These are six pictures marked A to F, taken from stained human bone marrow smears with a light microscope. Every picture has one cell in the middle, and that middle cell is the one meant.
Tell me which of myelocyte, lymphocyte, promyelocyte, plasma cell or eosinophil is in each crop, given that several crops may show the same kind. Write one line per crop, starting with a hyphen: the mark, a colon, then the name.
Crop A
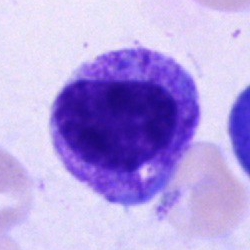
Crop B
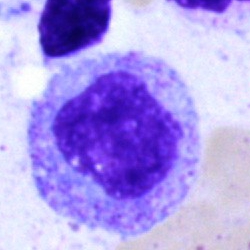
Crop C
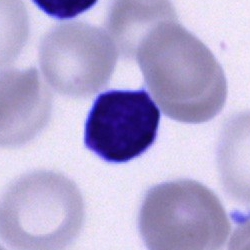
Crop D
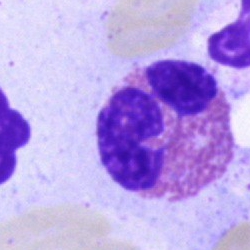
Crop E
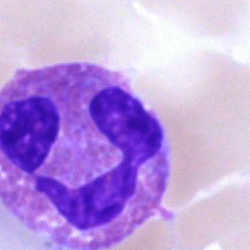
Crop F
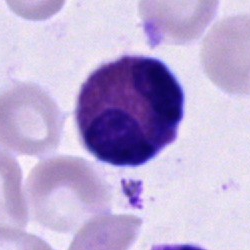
- A: myelocyte
- B: myelocyte
- C: lymphocyte
- D: eosinophil
- E: eosinophil
- F: eosinophil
